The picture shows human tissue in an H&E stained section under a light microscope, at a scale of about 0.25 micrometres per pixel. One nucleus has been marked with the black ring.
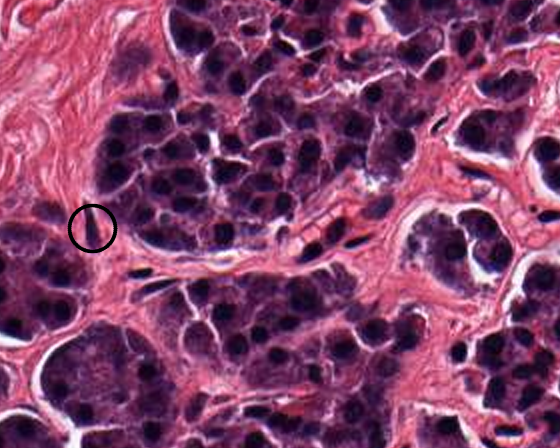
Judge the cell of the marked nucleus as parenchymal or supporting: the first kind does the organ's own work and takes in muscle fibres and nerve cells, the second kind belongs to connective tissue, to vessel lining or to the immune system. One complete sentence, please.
The cell that the marked nucleus belongs to is a supporting cell.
